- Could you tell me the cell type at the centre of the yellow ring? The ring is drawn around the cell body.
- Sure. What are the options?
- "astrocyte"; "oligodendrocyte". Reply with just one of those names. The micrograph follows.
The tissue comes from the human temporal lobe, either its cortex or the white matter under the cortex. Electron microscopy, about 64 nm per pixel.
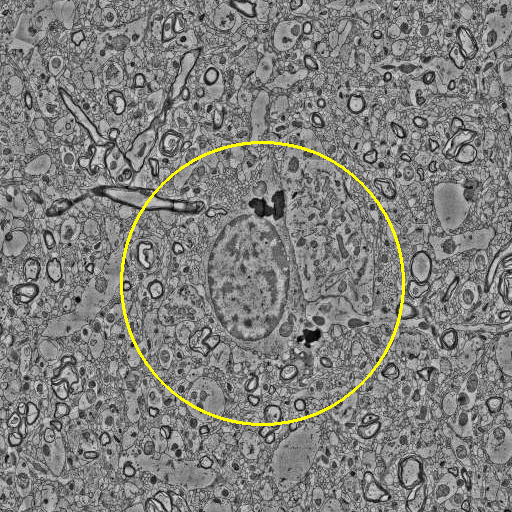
oligodendrocyte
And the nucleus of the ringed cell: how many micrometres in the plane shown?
In this plane the nucleus spans approximately 8 by 6 micrometers.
